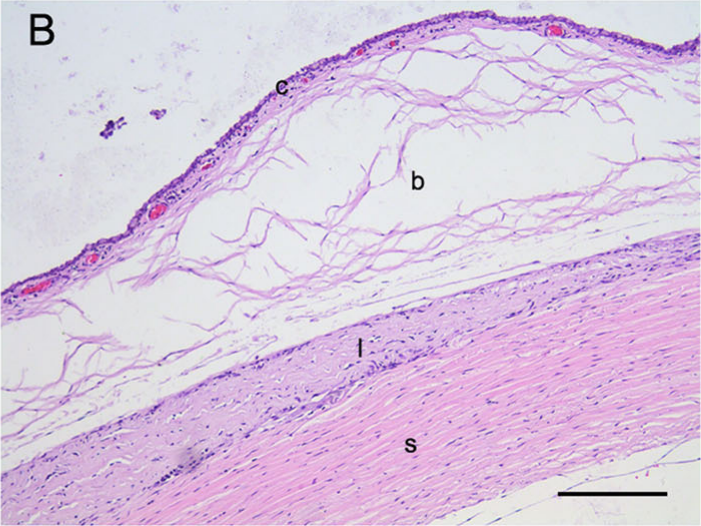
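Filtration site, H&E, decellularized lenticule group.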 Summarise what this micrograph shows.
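This section shows conjunctiva on top, a wide open space in the middle and sclera below. The conjunctiva is a thin, continuous epithelium with purple nuclei and small vessels holding red cells beneath it. The sclera itself is dense, parallel pink collagen with sparse flattened nuclei.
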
